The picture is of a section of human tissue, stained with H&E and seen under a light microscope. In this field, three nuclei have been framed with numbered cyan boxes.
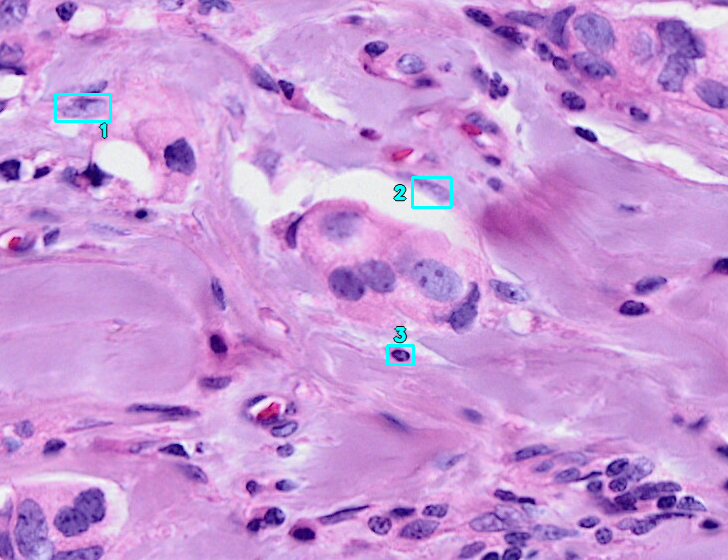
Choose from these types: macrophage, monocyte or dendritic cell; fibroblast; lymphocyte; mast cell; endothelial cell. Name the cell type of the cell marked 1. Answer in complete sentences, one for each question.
What the number 1 marks in this field is a fibroblast.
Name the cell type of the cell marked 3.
The cell assigned the number 3 is a mast cell.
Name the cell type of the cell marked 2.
The cell that is numbered 2 is a fibroblast.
